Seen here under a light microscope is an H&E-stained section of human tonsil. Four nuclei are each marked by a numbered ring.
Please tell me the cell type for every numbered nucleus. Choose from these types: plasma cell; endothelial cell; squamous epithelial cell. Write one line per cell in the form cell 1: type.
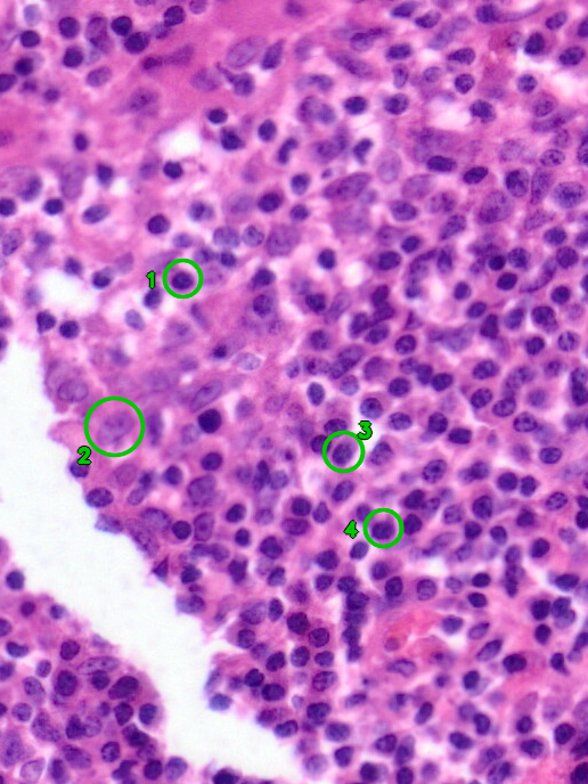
cell 1: plasma cell
cell 2: squamous epithelial cell
cell 3: plasma cell
cell 4: plasma cell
